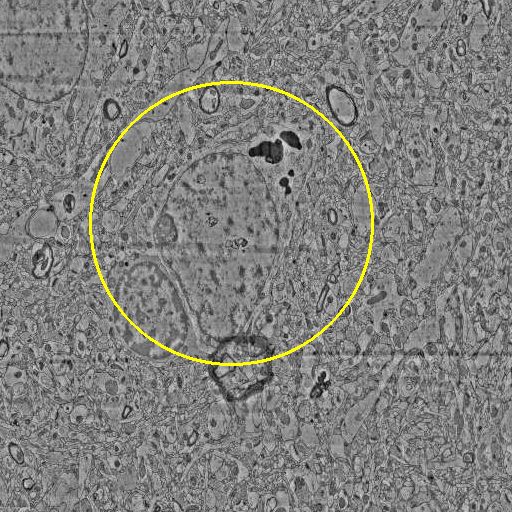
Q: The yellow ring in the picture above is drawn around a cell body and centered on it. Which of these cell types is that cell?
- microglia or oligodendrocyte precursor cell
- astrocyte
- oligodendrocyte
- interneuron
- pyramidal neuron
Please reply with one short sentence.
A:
The cell body at the ring's center belongs to an interneuron.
